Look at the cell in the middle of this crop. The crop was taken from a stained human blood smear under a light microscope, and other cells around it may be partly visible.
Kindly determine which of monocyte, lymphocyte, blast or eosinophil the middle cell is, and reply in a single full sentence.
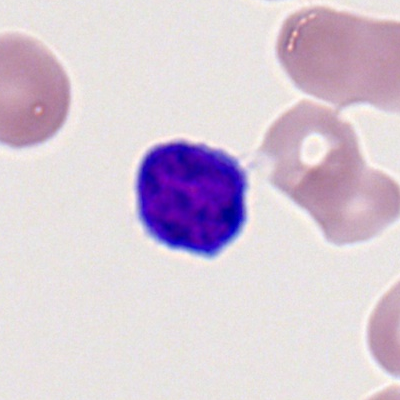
In the central position of this crop, the cell is a lymphocyte.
